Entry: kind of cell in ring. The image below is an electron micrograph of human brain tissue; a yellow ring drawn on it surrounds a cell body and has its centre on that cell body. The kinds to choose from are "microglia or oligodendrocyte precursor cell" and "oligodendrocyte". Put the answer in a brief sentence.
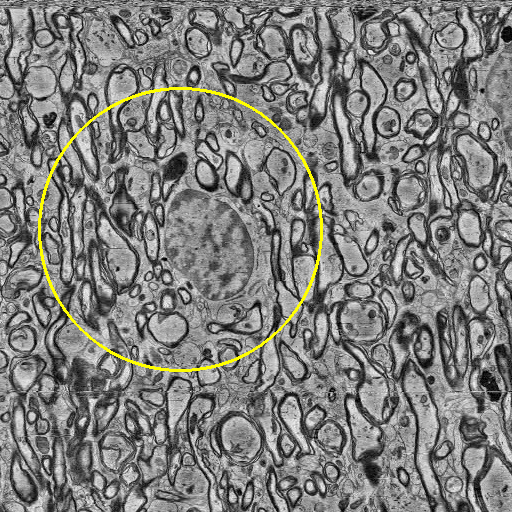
The ring has been drawn around a microglial cell or oligodendrocyte precursor cell.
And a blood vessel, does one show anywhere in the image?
No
